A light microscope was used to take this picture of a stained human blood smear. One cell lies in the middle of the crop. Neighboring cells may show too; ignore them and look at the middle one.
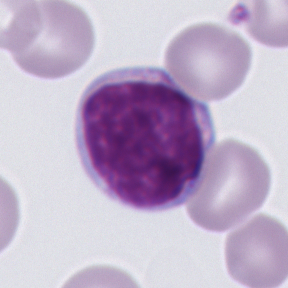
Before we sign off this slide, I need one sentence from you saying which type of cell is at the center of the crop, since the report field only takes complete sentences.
The middle of this crop is occupied by a large granular lymphocyte.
